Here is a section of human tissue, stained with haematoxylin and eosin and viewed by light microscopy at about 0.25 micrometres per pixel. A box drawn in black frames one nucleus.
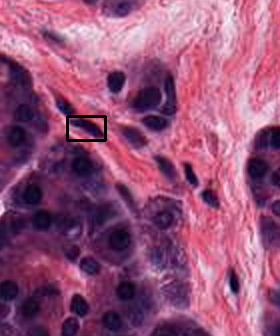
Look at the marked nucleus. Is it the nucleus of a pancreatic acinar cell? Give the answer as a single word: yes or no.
no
